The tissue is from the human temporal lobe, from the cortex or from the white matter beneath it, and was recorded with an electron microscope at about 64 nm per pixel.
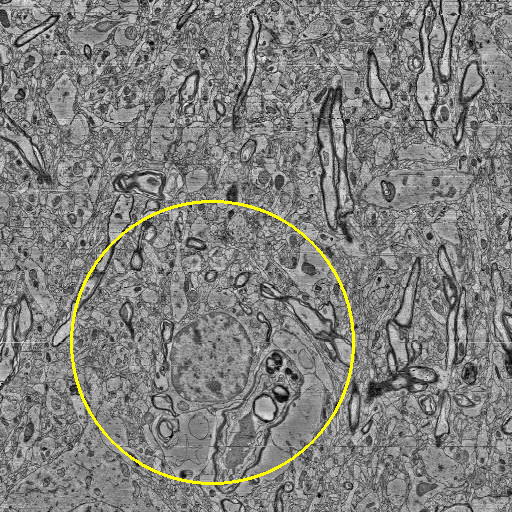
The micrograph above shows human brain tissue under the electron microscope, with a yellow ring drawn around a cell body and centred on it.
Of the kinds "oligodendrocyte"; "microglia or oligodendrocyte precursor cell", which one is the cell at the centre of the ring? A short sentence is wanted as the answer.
The one at the centre of the ring is an oligodendrocyte.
